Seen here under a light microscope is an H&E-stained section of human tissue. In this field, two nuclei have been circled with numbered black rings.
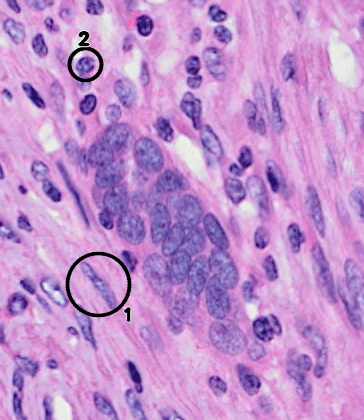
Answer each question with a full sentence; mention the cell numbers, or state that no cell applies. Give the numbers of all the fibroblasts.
It is cell 1, and no other numbered cell, that is a fibroblast.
